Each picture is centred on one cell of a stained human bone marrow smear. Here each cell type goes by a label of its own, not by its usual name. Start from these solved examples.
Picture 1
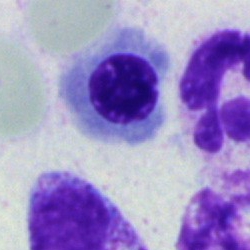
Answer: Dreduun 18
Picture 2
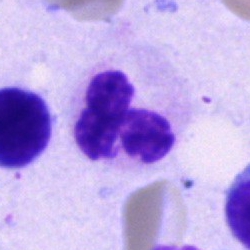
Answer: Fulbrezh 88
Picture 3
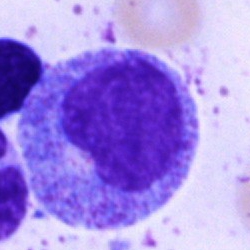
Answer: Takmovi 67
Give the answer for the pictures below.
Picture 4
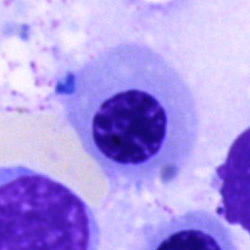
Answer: Dreduun 18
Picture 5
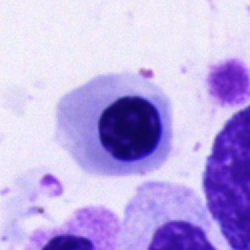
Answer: Dreduun 18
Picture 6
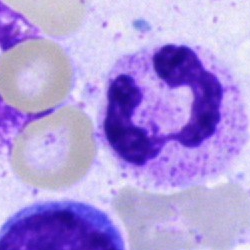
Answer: Fulbrezh 88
